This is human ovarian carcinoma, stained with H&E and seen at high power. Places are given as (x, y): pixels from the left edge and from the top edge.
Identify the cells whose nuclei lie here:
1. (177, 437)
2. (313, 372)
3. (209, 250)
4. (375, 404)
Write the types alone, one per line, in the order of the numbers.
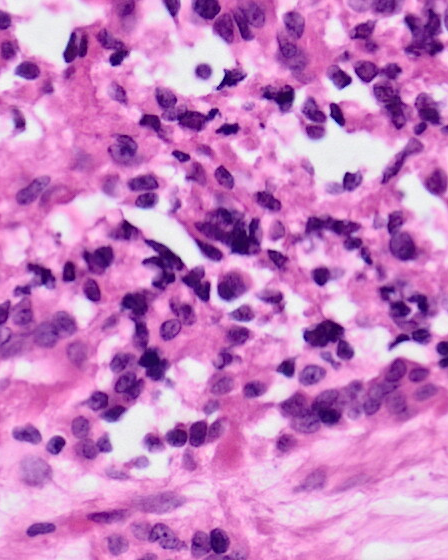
carcinoma cell
macrophage or monocyte
carcinoma cell
carcinoma cell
